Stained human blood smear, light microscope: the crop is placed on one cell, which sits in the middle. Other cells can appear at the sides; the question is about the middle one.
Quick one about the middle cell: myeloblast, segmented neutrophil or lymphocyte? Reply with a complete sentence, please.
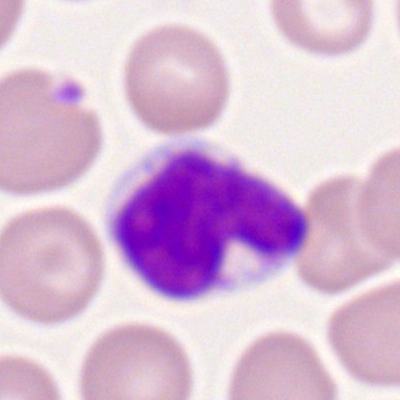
In the middle of this smear crop is a lymphocyte.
